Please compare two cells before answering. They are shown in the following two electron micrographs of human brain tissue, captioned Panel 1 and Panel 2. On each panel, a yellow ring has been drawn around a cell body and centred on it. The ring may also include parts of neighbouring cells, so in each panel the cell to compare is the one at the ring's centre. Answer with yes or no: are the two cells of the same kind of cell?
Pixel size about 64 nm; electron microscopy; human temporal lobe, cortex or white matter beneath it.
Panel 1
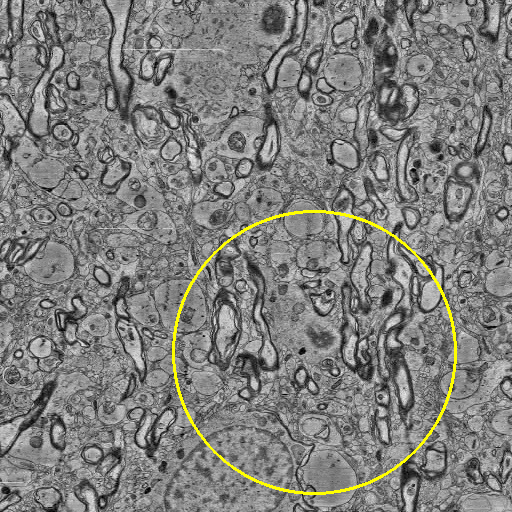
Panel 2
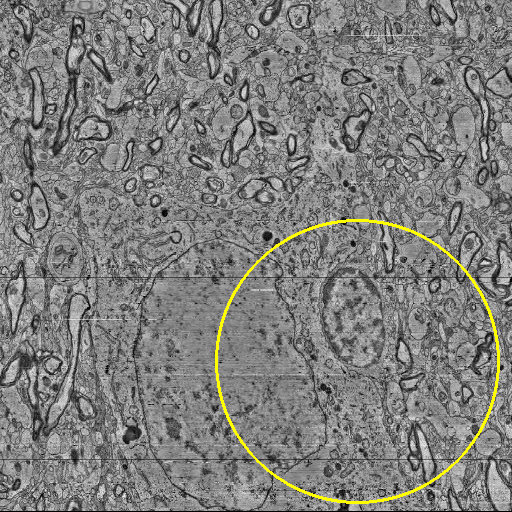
yes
